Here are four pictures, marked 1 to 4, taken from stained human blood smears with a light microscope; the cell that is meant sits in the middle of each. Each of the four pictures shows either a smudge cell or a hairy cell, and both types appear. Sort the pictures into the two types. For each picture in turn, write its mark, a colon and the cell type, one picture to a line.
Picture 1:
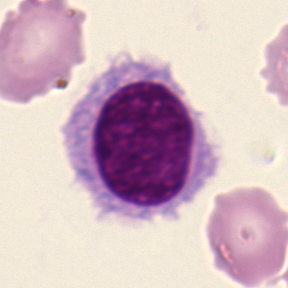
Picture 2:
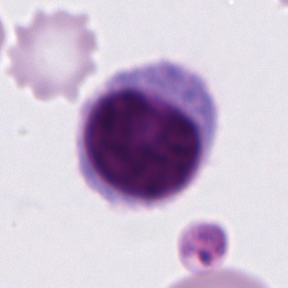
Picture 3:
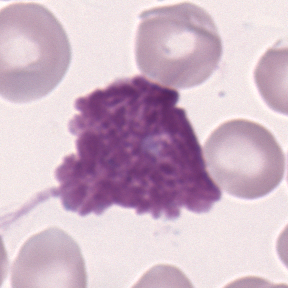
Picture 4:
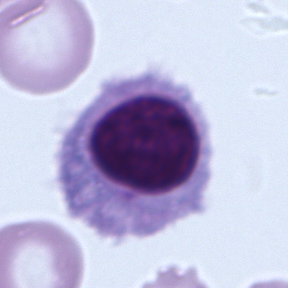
1: hairy cell
2: hairy cell
3: smudge cell
4: hairy cell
